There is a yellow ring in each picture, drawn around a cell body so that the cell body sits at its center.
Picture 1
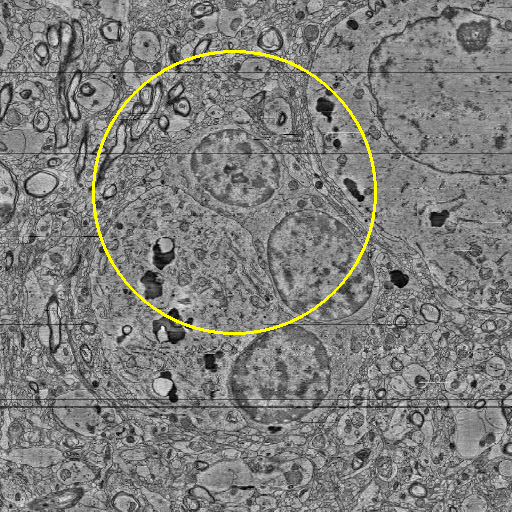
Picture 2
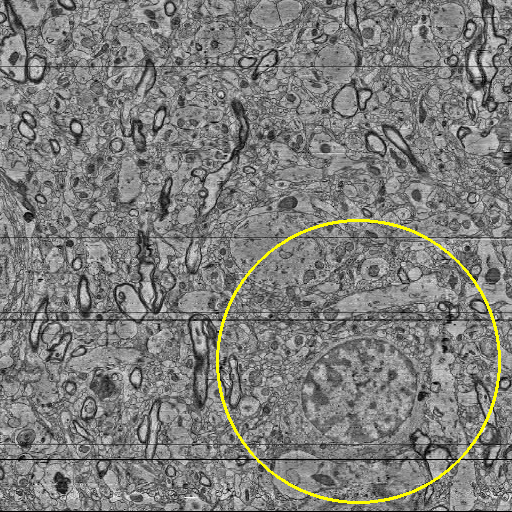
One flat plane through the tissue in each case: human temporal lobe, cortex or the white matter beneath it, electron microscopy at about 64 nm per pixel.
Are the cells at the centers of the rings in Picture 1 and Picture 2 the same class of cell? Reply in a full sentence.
Yes, the two cells are the same class of cell.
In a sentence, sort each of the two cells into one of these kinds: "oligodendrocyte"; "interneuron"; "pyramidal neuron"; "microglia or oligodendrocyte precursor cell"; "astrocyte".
Each one of the two ringed cells is an oligodendrocyte.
